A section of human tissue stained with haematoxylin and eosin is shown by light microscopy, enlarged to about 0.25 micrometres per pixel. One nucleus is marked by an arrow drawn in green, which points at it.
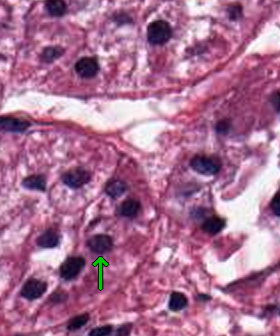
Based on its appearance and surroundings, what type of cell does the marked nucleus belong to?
adrenal cortical cell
